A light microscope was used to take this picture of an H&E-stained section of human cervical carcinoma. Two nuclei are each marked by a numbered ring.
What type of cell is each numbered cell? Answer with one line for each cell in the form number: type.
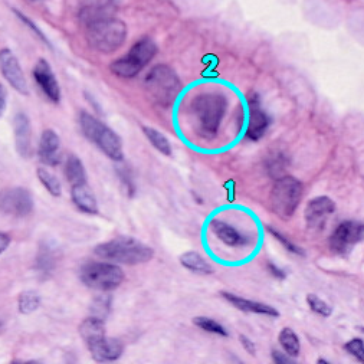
1: fibroblast
2: secretory epithelial cell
